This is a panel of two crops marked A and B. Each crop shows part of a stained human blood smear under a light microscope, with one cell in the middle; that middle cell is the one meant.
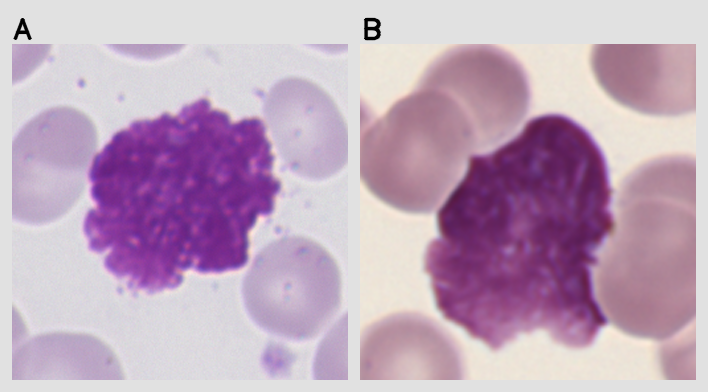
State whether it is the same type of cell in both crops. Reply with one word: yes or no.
yes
